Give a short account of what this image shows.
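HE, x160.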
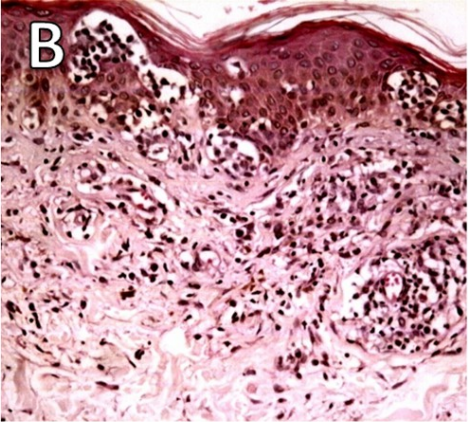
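This is skin with an epidermis on top and superficial dermis below, infiltrated by small atypical lymphocytes in a mycosis fungoides pattern. Within the pink epidermis lie small rounded nests of dark lymphoid cells sitting in clear spaces; these are Pautrier's microabscesses. Beneath the epidermis, the upper dermis holds many small cells with dark, dense, somewhat irregular nuclei and little visible cytoplasm. The lymphocytes gather partly in clusters around small vessels and between pale pink collagen. The epidermal keratinocytes have paler, rounder nuclei than the dark lymphocytes among them.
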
